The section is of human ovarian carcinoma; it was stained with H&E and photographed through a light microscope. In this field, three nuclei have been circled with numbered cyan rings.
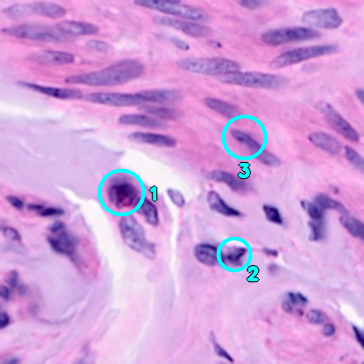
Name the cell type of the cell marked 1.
endothelial cell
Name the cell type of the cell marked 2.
fibroblast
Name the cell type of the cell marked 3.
smooth muscle cell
